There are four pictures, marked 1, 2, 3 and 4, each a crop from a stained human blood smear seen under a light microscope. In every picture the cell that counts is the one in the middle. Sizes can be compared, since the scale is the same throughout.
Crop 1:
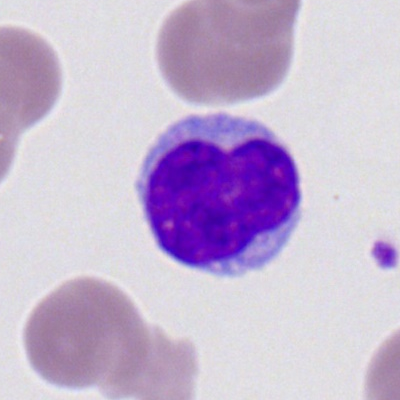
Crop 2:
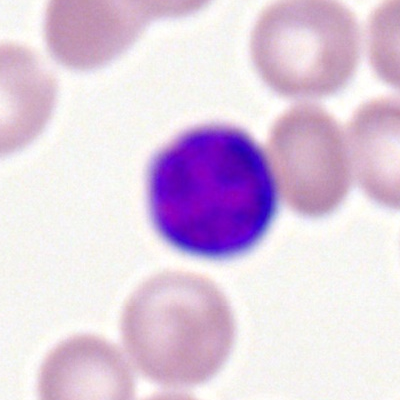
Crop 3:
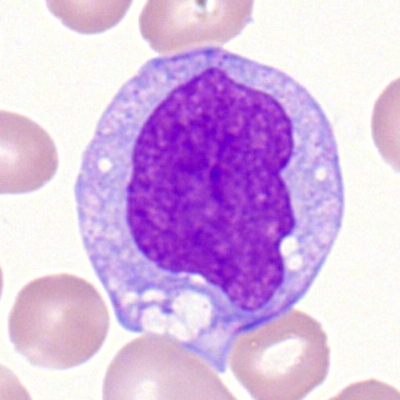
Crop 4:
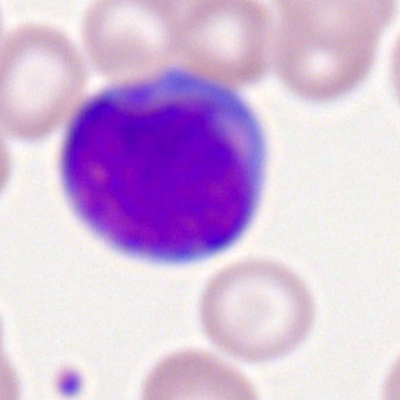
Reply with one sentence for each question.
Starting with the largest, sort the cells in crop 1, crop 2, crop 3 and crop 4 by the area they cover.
Largest first: 3, 4, 1, 2.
